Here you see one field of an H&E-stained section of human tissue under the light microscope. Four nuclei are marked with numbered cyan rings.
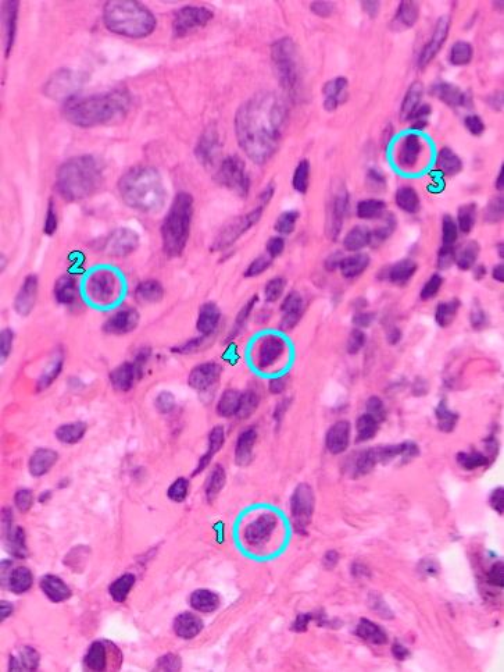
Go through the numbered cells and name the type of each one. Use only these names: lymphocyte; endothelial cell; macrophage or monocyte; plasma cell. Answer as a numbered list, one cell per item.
1. lymphocyte
2. lymphocyte
3. lymphocyte
4. plasma cell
